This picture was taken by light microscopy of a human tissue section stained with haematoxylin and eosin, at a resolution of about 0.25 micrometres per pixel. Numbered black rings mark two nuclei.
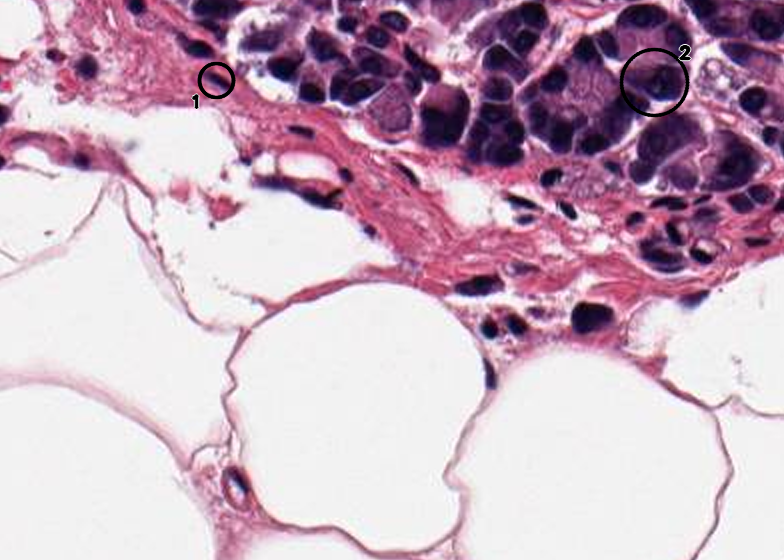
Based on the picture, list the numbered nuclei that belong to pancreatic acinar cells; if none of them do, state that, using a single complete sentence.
Nucleus 2 and no other numbered nucleus belongs to a pancreatic acinar cell.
